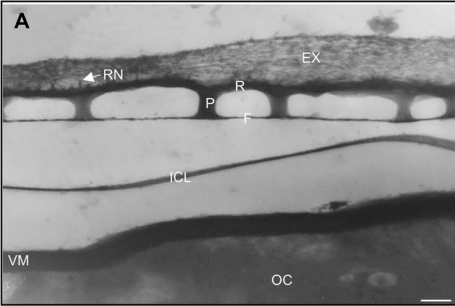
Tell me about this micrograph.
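This electron micrograph shows the layered eggshell lying over the oocyte, with the endochorion built as a tripartite structure. A dark, continuous floor and roof are joined at regular intervals by pillars, enclosing a row of rounded, pale, empty cavities. Above the roof lies a thicker, finely fibrous exochorion, and below the endochorion a thin inner chorionic layer runs as a fine line, then a thick dark vitelline membrane overlying the oocyte cytoplasm.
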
